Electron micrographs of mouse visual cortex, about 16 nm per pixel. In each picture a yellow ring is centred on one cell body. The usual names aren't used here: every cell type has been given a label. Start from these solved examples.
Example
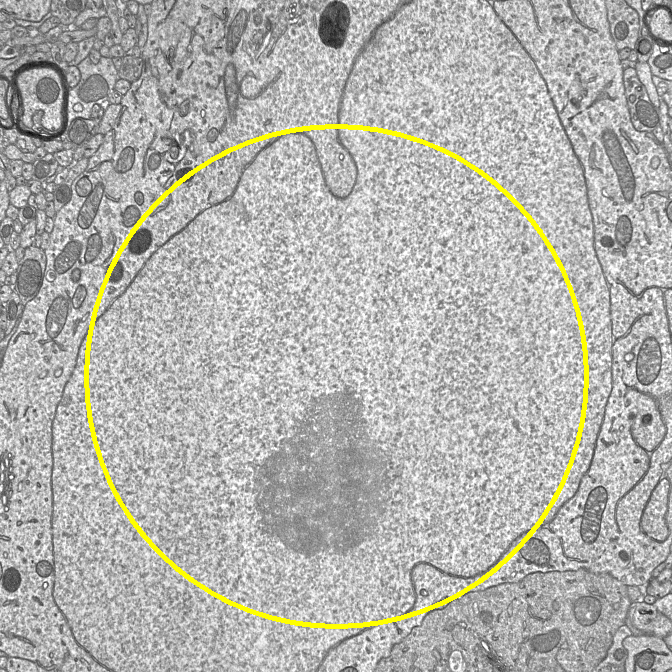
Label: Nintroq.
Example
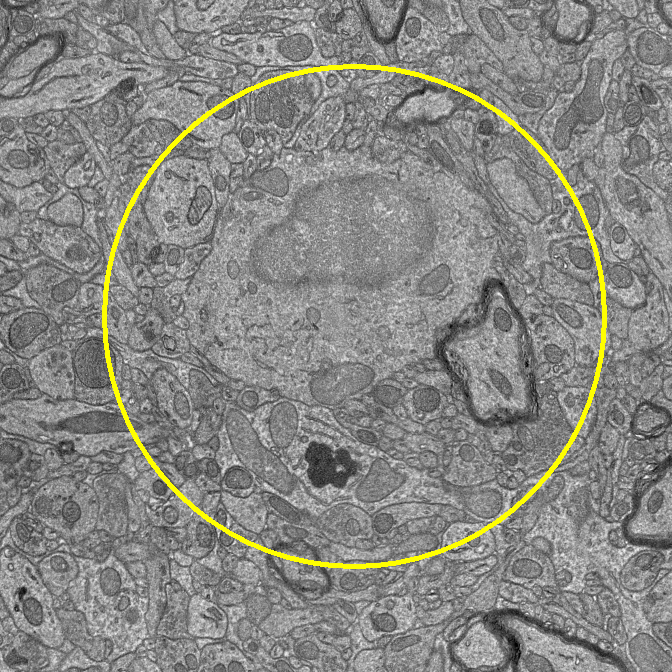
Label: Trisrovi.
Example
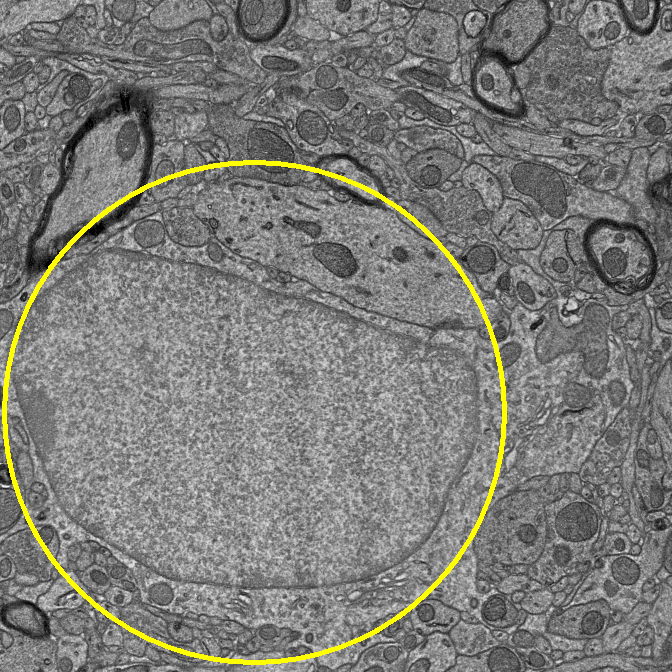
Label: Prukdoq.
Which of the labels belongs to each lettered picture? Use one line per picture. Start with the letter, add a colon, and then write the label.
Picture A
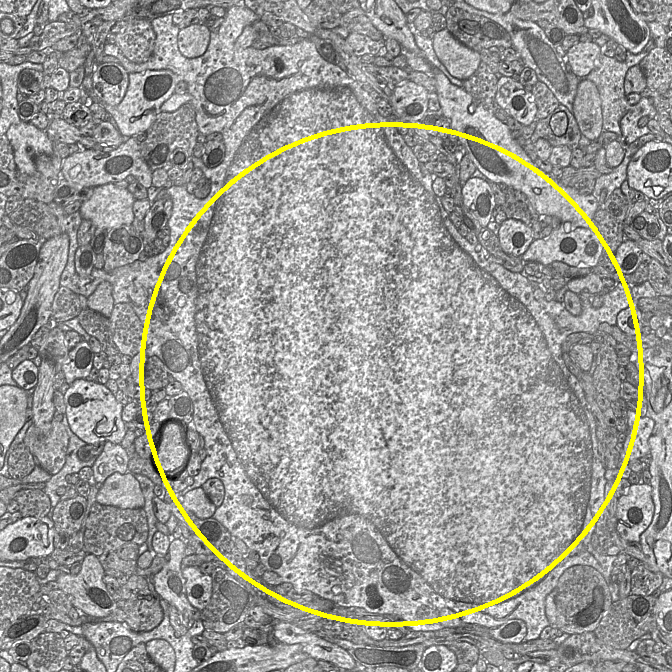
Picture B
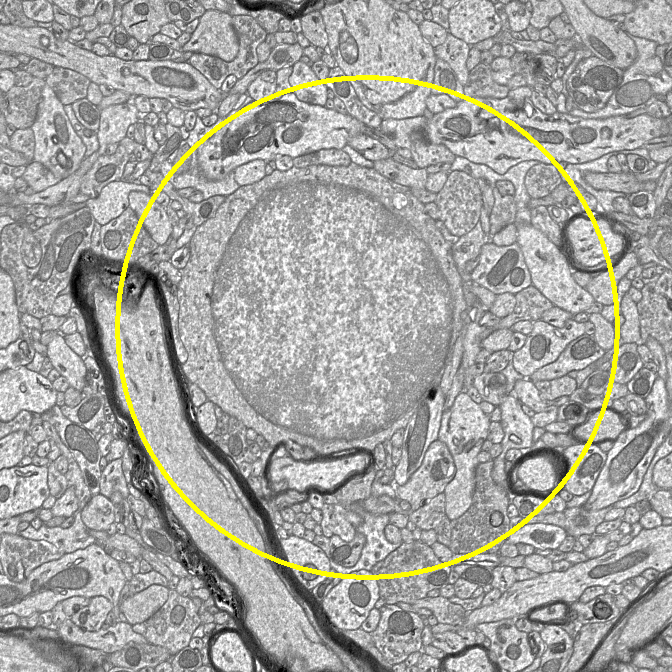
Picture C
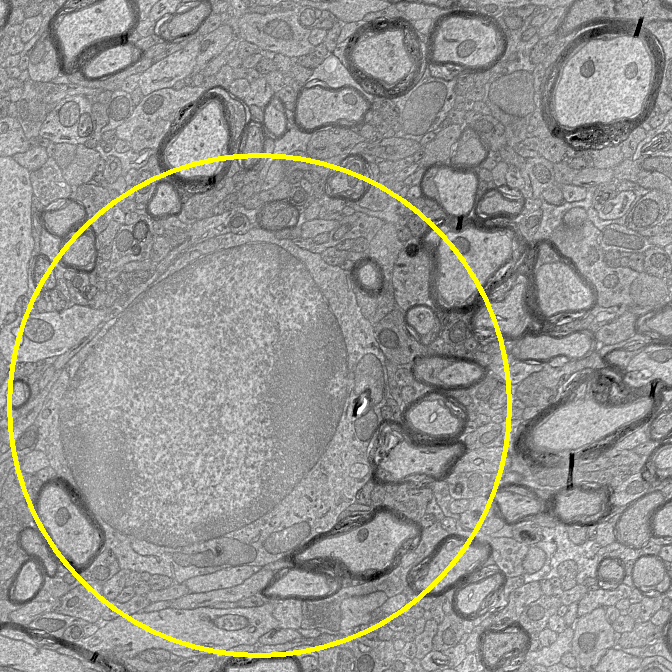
A: Prukdoq.
B: Trisrovi.
C: Trisrovi.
